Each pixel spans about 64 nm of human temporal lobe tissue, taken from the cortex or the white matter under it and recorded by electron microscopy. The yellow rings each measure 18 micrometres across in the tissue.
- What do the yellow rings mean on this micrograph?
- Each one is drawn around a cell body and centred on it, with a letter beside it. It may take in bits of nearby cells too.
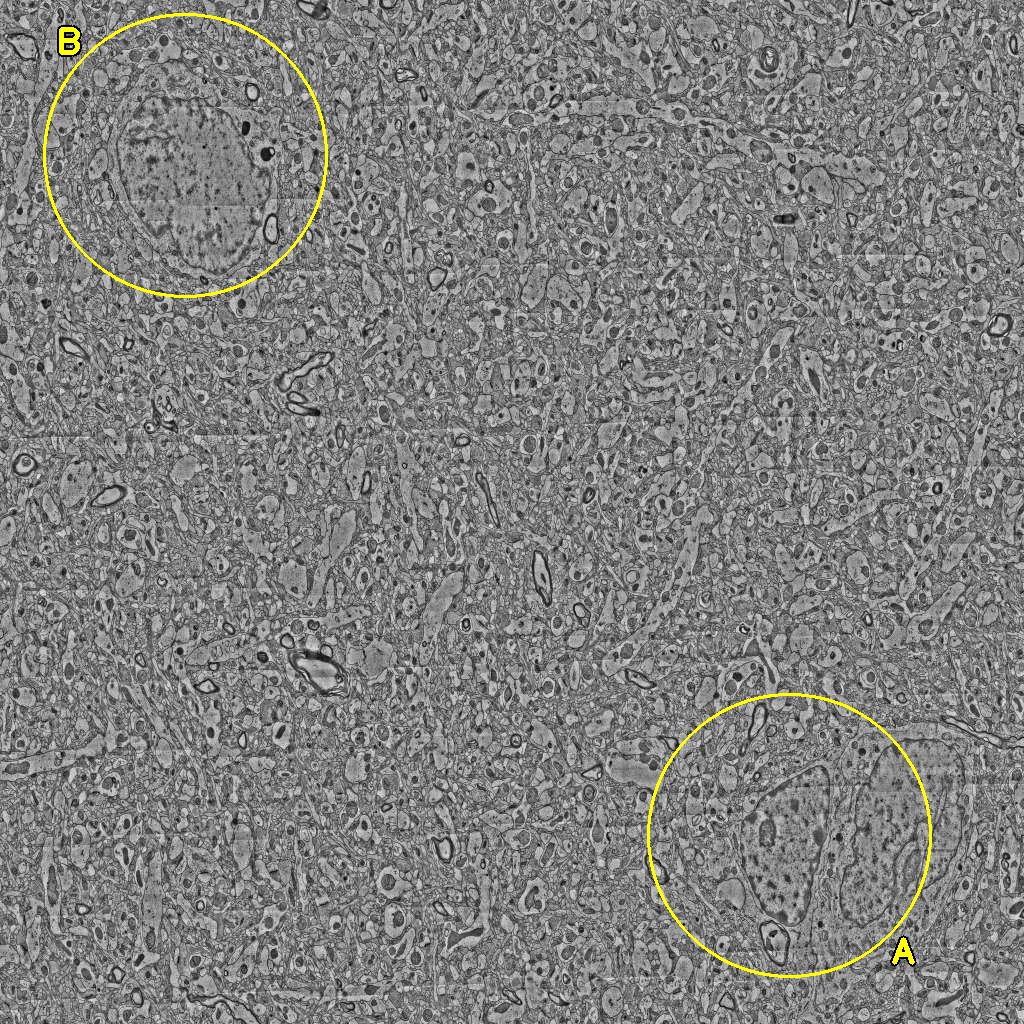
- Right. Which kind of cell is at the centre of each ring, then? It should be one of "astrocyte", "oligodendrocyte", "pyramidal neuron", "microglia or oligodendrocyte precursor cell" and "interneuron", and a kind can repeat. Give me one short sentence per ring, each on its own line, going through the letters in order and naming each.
Ring A circles the cell body of a microglial cell or oligodendrocyte precursor cell.
Ring B circles the cell body of an interneuron.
